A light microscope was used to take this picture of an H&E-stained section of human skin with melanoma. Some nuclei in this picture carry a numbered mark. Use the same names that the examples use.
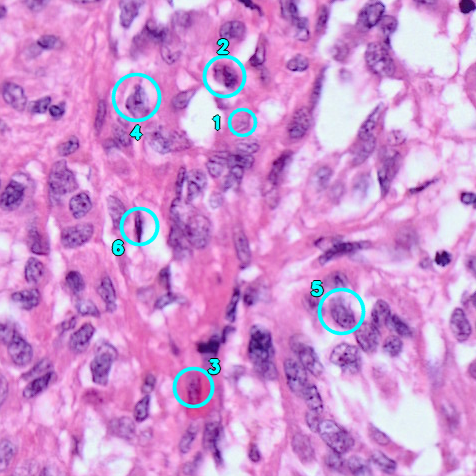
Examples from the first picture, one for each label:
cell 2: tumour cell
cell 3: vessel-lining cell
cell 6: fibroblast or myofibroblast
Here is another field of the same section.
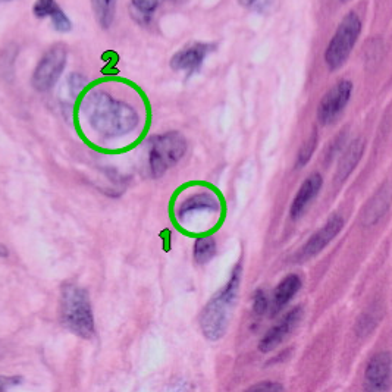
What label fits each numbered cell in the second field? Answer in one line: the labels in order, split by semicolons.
fibroblast or myofibroblast; vessel-lining cell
